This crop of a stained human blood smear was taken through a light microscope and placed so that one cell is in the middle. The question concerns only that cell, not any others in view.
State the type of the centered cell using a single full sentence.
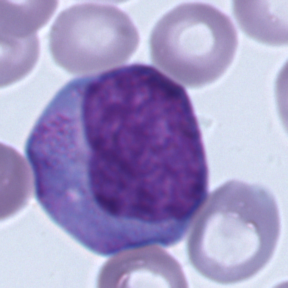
For this crop, the central cell is a promyelocyte.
